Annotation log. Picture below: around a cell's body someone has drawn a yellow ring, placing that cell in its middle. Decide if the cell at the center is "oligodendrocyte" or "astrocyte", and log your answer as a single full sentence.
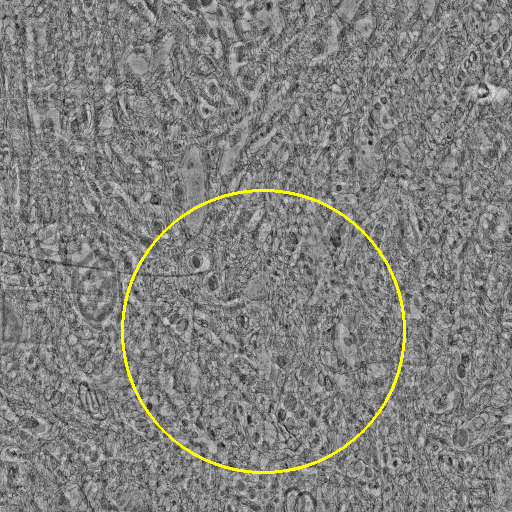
My entry records an oligodendrocyte as the cell sitting at the center of the yellow ring.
